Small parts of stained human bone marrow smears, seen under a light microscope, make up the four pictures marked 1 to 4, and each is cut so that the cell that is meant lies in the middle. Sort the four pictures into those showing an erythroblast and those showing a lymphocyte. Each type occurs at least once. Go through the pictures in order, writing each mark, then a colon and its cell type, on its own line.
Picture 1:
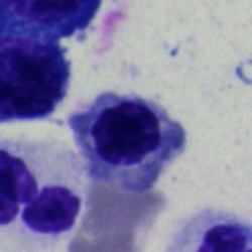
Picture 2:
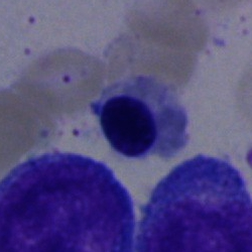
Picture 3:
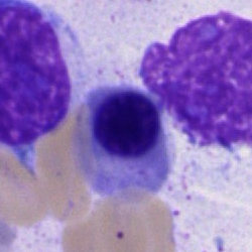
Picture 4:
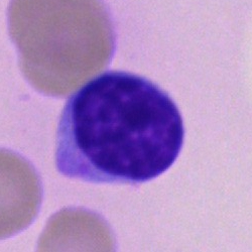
1: erythroblast
2: erythroblast
3: erythroblast
4: lymphocyte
